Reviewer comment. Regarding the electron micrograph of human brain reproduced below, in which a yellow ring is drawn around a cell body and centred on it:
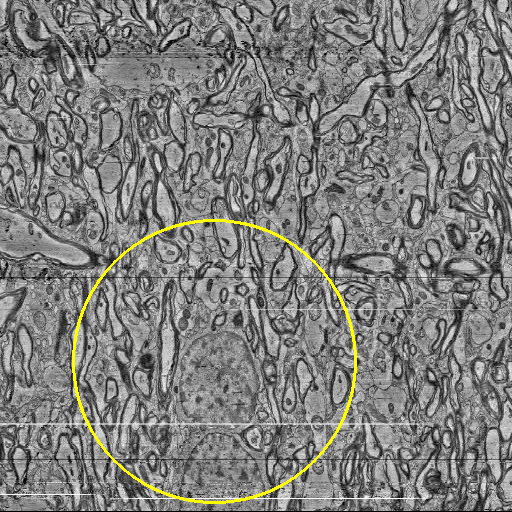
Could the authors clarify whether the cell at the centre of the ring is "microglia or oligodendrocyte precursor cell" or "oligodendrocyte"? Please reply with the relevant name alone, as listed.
oligodendrocyte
